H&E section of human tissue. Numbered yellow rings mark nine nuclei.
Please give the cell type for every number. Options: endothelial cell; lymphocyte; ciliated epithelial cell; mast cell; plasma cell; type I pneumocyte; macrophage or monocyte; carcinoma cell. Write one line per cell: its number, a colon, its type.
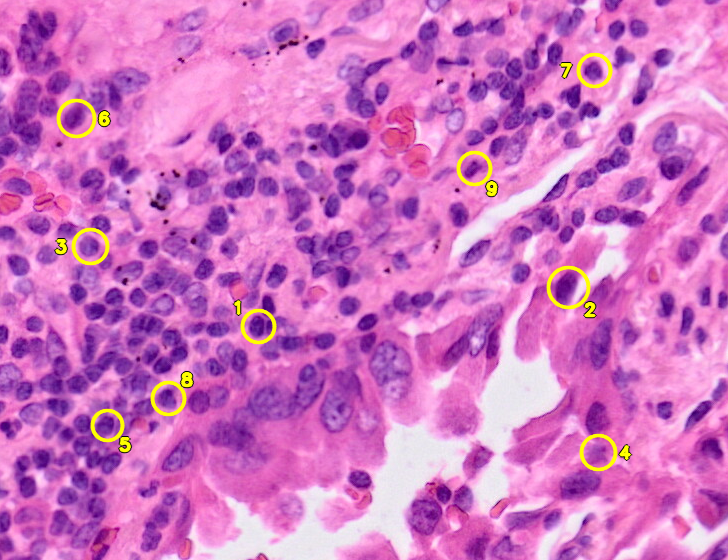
1: lymphocyte
2: carcinoma cell
3: lymphocyte
4: carcinoma cell
5: lymphocyte
6: plasma cell
7: lymphocyte
8: lymphocyte
9: plasma cell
